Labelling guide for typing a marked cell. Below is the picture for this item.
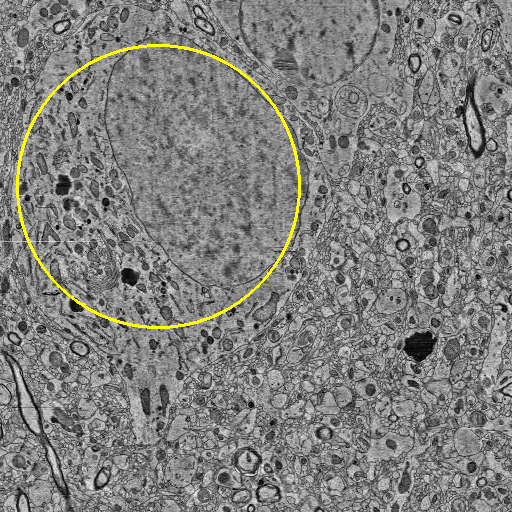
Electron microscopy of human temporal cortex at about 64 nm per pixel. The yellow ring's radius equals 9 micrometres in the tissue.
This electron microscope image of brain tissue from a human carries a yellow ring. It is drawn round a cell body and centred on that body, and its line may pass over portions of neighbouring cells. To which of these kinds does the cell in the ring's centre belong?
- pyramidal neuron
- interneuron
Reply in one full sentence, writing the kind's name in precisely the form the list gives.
Here we have an interneuron at the centre of the yellow ring in the picture.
